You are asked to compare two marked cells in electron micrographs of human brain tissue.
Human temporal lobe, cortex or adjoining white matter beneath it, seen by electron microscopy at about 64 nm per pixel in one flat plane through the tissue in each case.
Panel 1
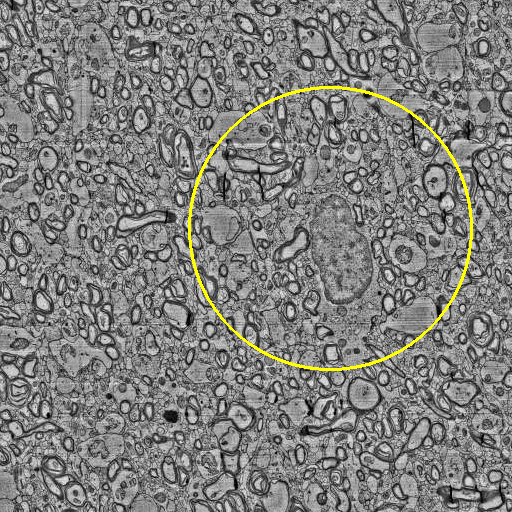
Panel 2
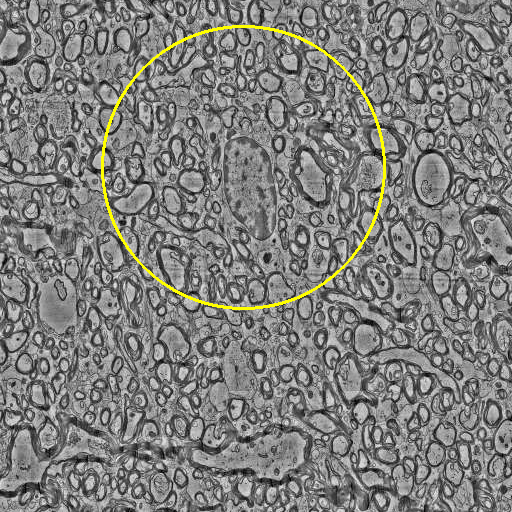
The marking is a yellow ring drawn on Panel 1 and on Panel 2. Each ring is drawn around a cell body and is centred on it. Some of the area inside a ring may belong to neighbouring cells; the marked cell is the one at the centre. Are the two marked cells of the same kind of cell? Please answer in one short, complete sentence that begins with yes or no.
No, the two marked cells are of two kinds.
